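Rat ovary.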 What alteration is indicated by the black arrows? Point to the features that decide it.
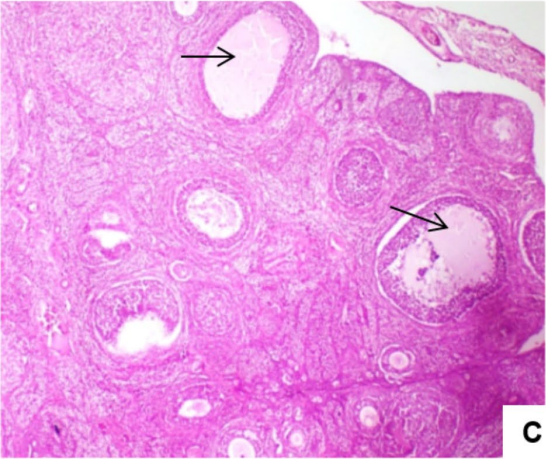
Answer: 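Large cavities filled with pale pink fluid. On this evidence: ovarian follicular cysts.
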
